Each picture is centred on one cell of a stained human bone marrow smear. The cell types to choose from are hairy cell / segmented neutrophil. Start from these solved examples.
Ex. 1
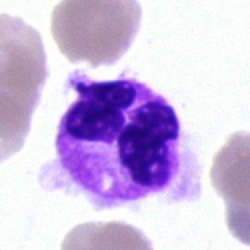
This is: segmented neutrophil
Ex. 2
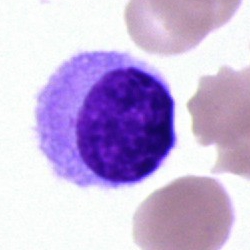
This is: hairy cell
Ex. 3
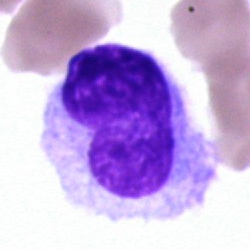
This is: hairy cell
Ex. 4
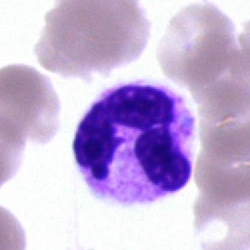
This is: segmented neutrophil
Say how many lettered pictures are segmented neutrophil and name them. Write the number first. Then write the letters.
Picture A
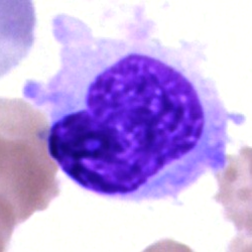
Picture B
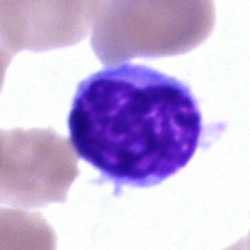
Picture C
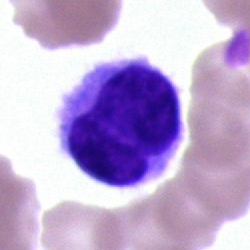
0, none of them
